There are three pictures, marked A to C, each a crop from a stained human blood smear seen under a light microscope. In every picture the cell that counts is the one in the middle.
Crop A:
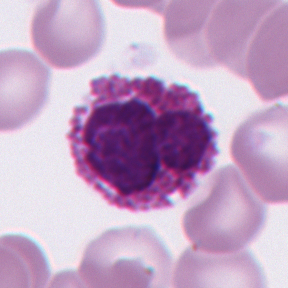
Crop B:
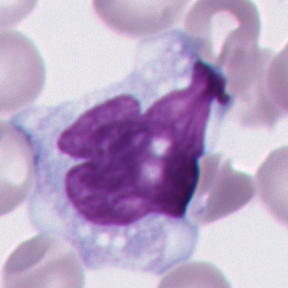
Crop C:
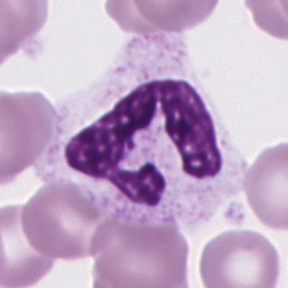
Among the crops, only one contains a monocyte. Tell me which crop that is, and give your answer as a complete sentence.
As for which crop shows a monocyte, it is crop B.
